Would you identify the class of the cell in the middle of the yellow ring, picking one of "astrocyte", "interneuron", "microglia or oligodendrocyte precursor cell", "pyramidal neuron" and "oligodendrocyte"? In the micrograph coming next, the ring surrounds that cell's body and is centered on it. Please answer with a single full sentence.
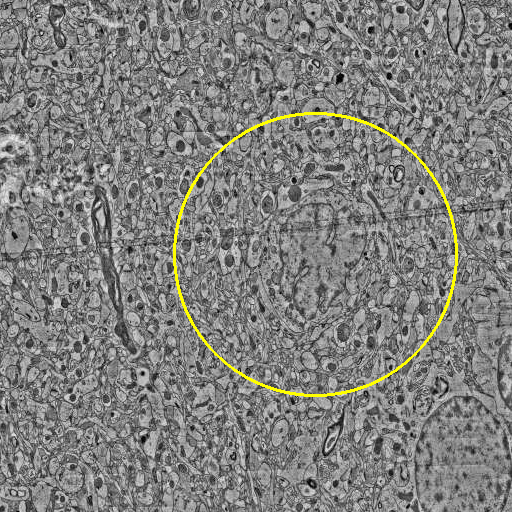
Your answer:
In the micrograph, it is an interneuron whose body lies at the ring's center.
